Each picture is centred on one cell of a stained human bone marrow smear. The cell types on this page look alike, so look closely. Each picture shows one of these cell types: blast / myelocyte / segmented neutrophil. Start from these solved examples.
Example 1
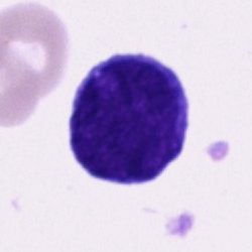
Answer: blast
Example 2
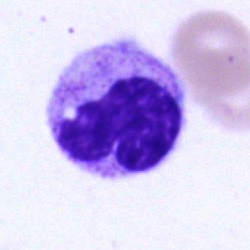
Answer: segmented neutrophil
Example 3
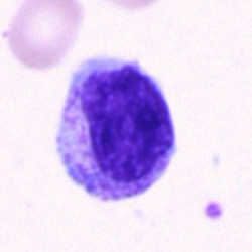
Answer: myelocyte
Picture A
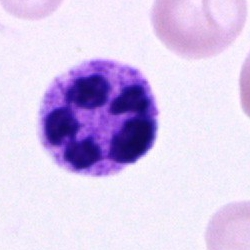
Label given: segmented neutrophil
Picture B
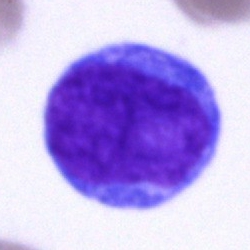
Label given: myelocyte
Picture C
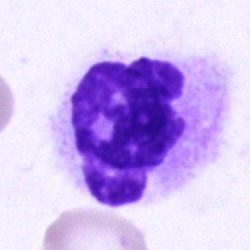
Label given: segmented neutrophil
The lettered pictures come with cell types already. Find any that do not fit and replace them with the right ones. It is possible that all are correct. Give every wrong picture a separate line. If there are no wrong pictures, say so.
B: not myelocyte but blast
